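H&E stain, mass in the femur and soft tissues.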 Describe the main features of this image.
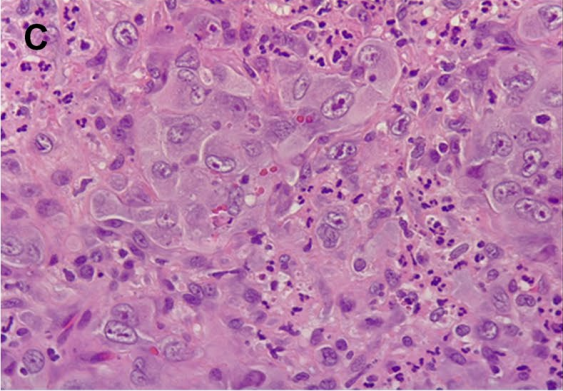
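Here the same large epithelioid tumour cells form sheets and nests with plentiful pink cytoplasm and big oval nuclei with visible nucleoli. In the centre a few small red blood cells sit inside spaces surrounded by tumour cell cytoplasm, forming little lumina. Around the tumour cells lie numerous small inflammatory cells with dense, segmented dark nuclei.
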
